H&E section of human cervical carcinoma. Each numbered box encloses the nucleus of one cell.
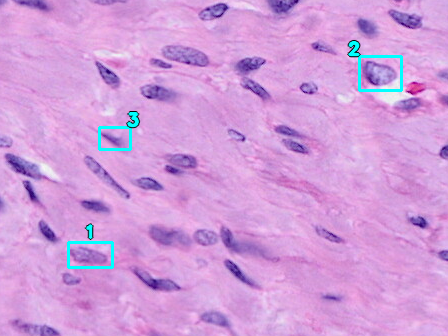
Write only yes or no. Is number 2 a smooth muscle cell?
no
